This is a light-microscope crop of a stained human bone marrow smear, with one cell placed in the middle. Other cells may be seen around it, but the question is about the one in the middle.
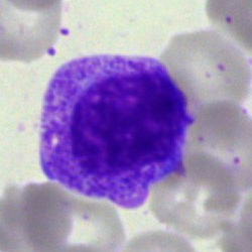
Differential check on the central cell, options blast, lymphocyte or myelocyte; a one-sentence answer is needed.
The center cell of this crop is a myelocyte.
